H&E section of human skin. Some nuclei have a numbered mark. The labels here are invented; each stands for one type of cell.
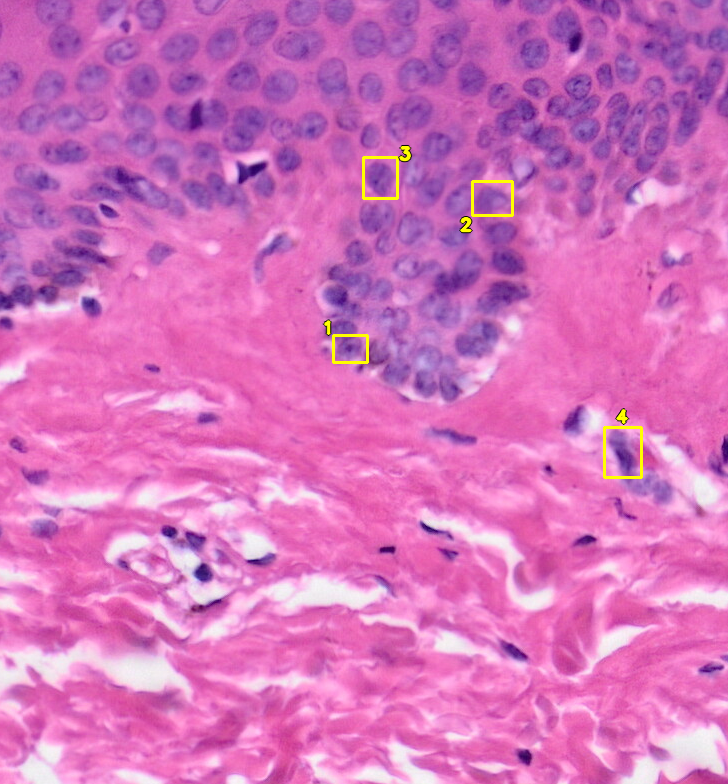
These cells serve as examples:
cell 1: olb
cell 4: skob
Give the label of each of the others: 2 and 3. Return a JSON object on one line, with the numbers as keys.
{"2": "olb", "3": "olb"}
